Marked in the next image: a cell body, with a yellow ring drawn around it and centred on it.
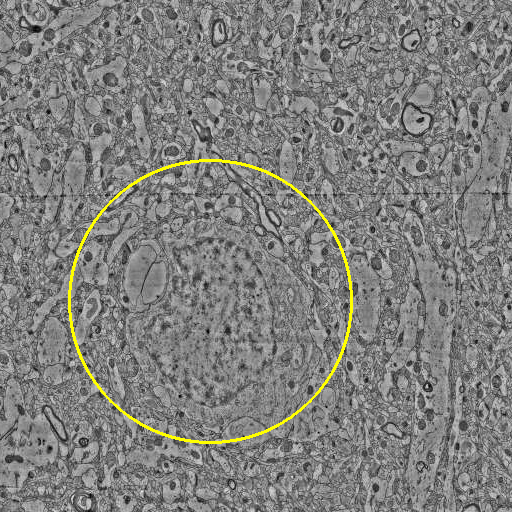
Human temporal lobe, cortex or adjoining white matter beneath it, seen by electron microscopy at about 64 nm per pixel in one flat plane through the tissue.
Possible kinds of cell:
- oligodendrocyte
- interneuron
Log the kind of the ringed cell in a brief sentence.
The ringed cell body is that of an interneuron.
